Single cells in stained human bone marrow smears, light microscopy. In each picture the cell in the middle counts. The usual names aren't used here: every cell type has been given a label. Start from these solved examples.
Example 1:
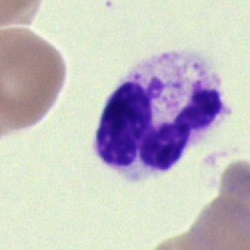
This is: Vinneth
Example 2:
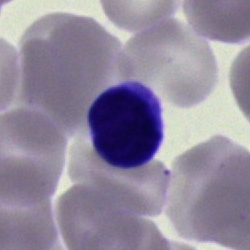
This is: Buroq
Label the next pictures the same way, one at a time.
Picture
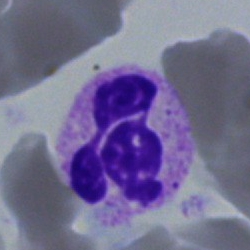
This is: Vinneth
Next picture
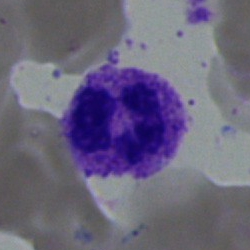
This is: Vinneth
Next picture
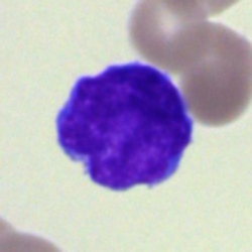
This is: Buroq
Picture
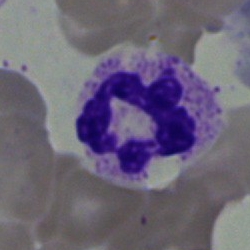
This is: Vinneth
